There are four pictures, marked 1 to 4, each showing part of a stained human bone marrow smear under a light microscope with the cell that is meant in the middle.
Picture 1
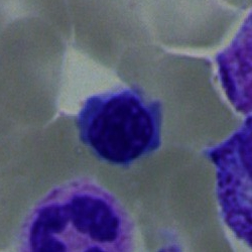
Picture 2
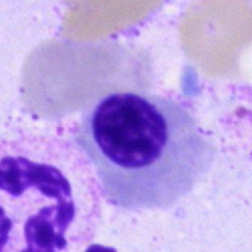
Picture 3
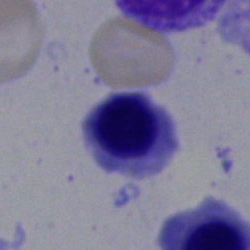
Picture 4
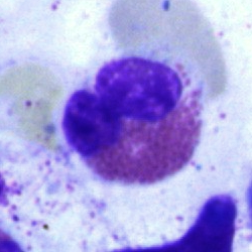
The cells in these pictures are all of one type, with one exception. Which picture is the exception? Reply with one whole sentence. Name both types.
All pictures except 4 show erythroblasts; picture 4 shows an eosinophil.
